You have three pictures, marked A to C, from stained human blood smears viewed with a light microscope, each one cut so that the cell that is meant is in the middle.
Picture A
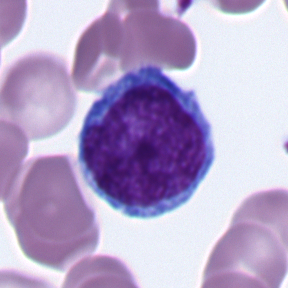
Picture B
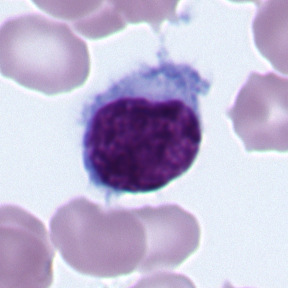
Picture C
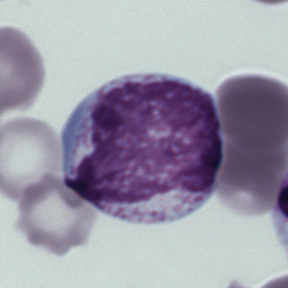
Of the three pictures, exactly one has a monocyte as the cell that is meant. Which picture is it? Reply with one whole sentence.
The picture with the monocyte is A.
